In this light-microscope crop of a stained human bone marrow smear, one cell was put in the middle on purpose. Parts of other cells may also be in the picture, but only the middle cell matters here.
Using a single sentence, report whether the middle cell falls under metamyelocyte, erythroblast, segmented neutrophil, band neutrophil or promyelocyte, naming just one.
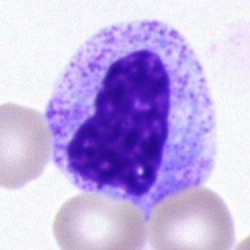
Centrally within this crop lies a metamyelocyte.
